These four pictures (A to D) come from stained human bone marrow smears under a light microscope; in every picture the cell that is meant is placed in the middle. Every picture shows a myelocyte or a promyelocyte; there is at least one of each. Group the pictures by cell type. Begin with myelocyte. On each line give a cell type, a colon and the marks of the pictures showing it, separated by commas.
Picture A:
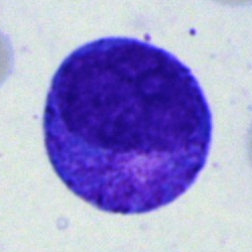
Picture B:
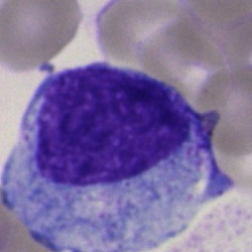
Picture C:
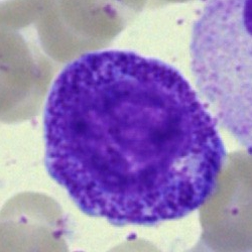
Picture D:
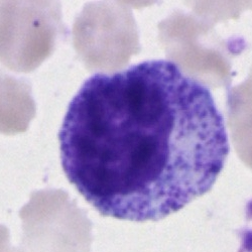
myelocyte: C
promyelocyte: A, B, D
